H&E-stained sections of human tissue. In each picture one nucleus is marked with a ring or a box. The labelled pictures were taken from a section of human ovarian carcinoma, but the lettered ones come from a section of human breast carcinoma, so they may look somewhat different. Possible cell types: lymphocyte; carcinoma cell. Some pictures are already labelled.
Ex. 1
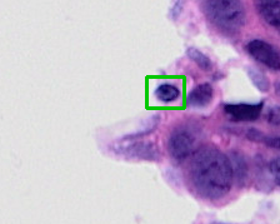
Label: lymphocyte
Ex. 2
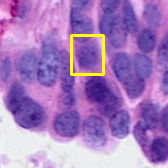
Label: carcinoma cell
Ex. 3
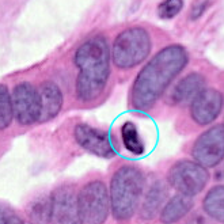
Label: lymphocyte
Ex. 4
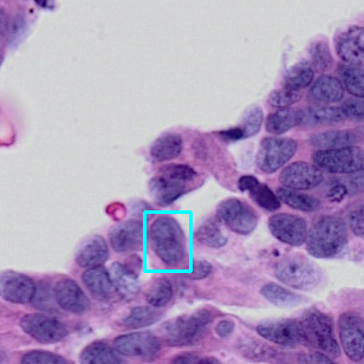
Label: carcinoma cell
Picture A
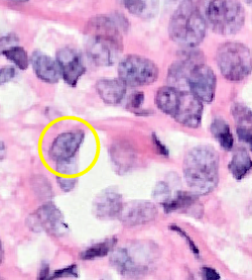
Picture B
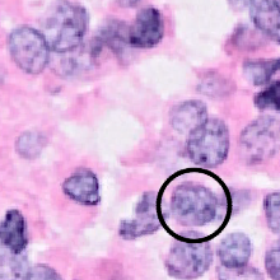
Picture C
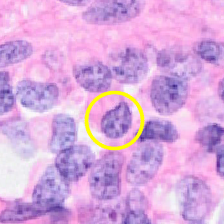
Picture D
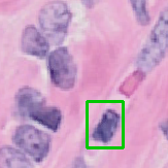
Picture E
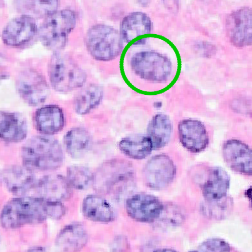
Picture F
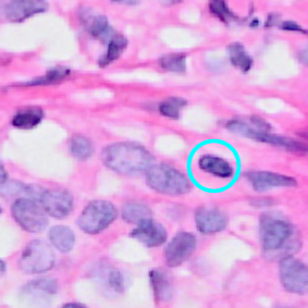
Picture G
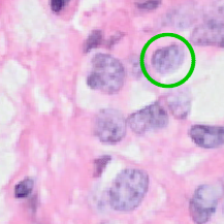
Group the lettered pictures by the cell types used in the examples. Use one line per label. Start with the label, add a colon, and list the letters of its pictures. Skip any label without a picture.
lymphocyte: D, F
carcinoma cell: A, B, C, E, G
